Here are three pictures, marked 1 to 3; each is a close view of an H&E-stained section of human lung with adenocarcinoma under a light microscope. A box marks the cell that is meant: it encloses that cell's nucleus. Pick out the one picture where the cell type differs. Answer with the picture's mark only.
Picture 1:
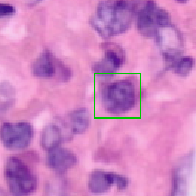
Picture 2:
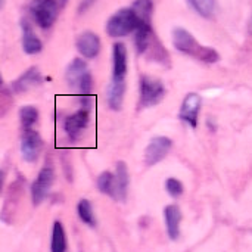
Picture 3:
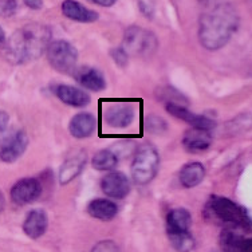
3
